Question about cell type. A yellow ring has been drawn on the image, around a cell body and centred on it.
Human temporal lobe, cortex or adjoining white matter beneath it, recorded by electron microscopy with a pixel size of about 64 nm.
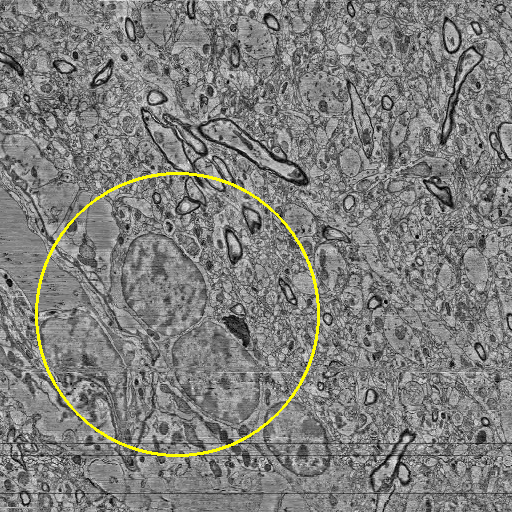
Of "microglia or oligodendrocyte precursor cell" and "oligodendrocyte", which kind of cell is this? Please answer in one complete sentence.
At the centre of the ring lies an oligodendrocyte.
